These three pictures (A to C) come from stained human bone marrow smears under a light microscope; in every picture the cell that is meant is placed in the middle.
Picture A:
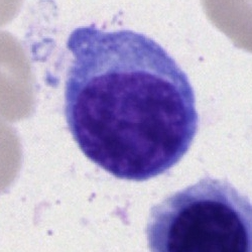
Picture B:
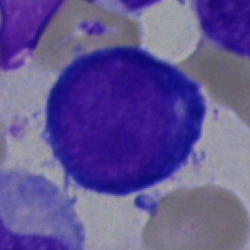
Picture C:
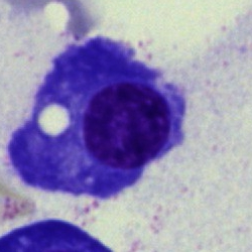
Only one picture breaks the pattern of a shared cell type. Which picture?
B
